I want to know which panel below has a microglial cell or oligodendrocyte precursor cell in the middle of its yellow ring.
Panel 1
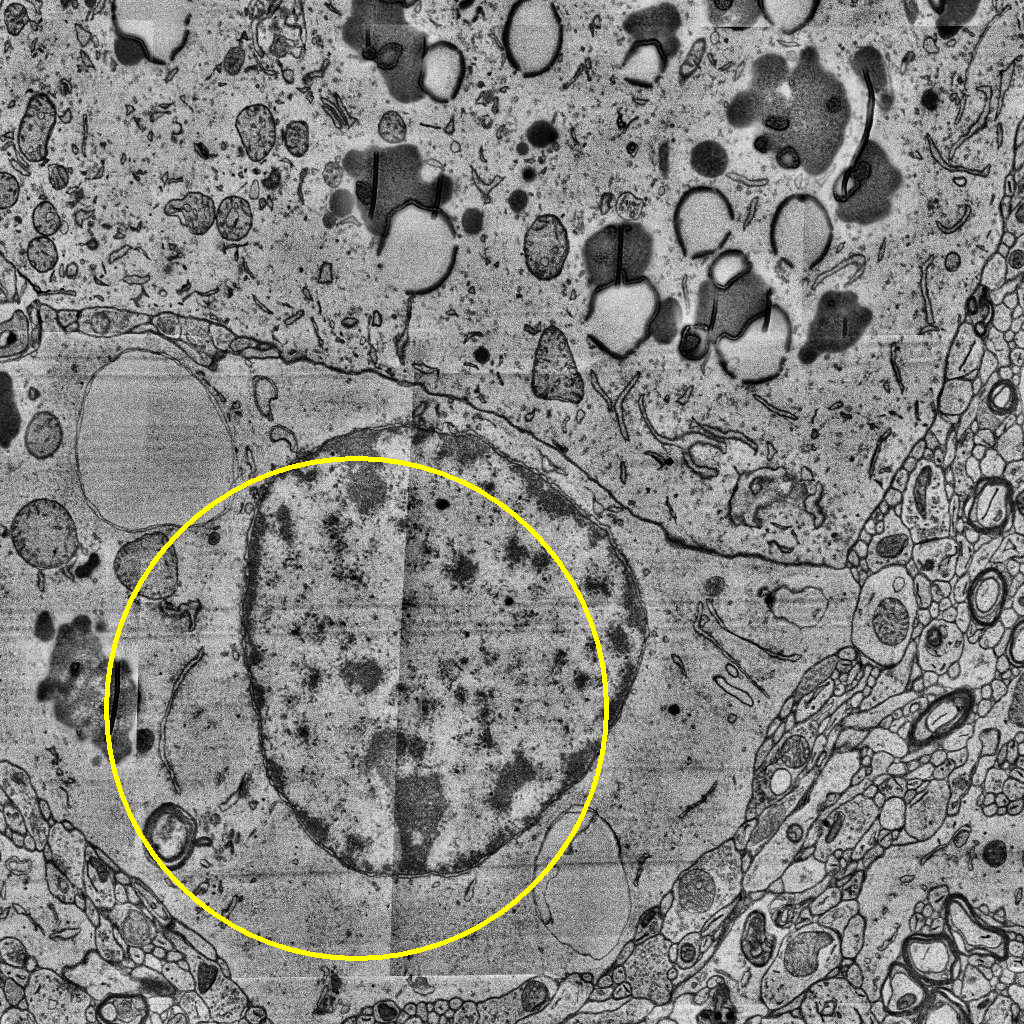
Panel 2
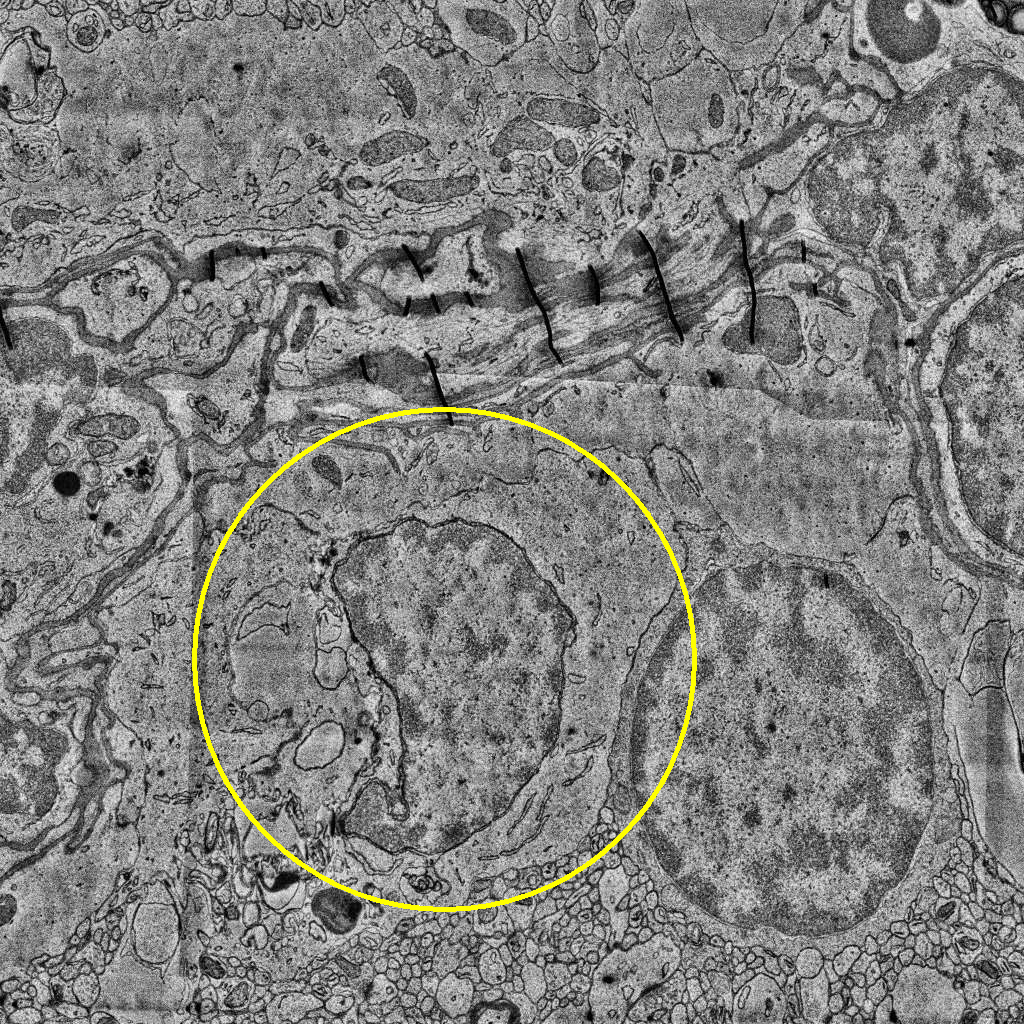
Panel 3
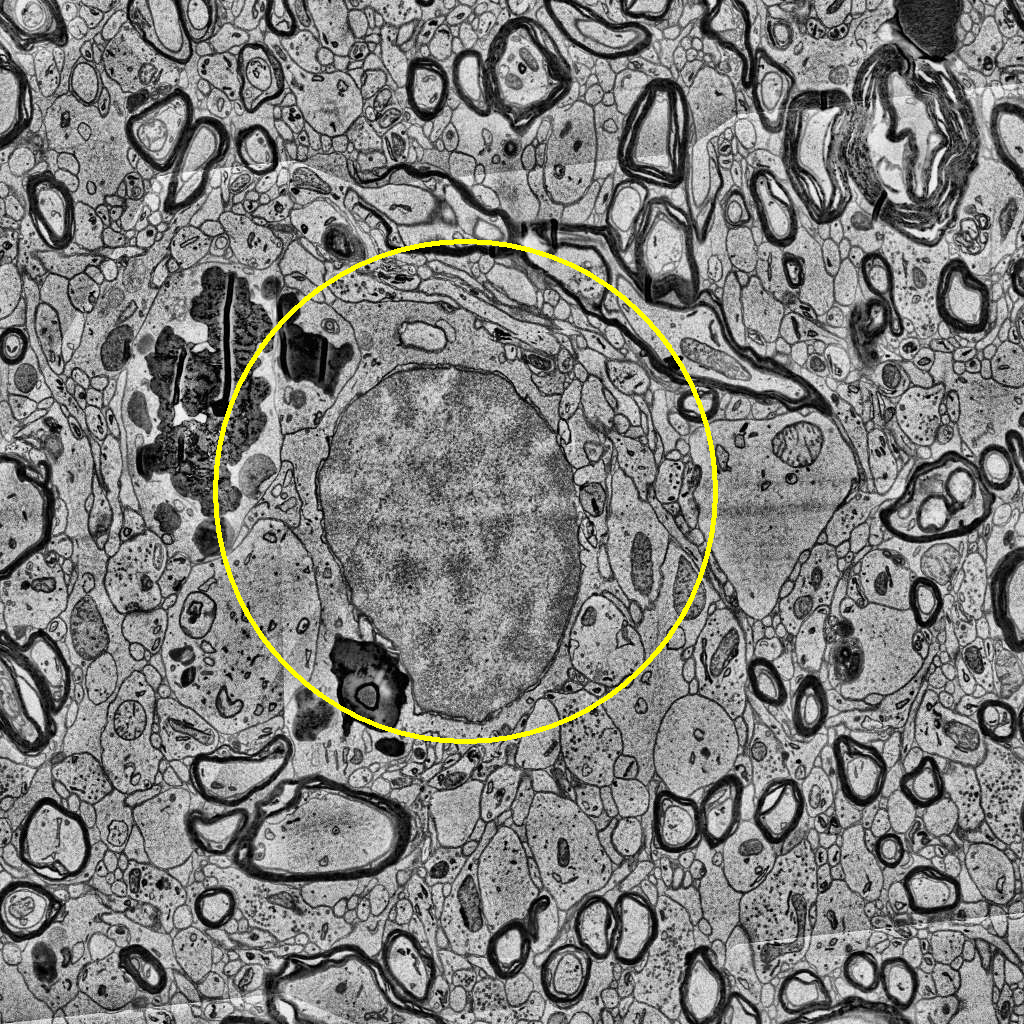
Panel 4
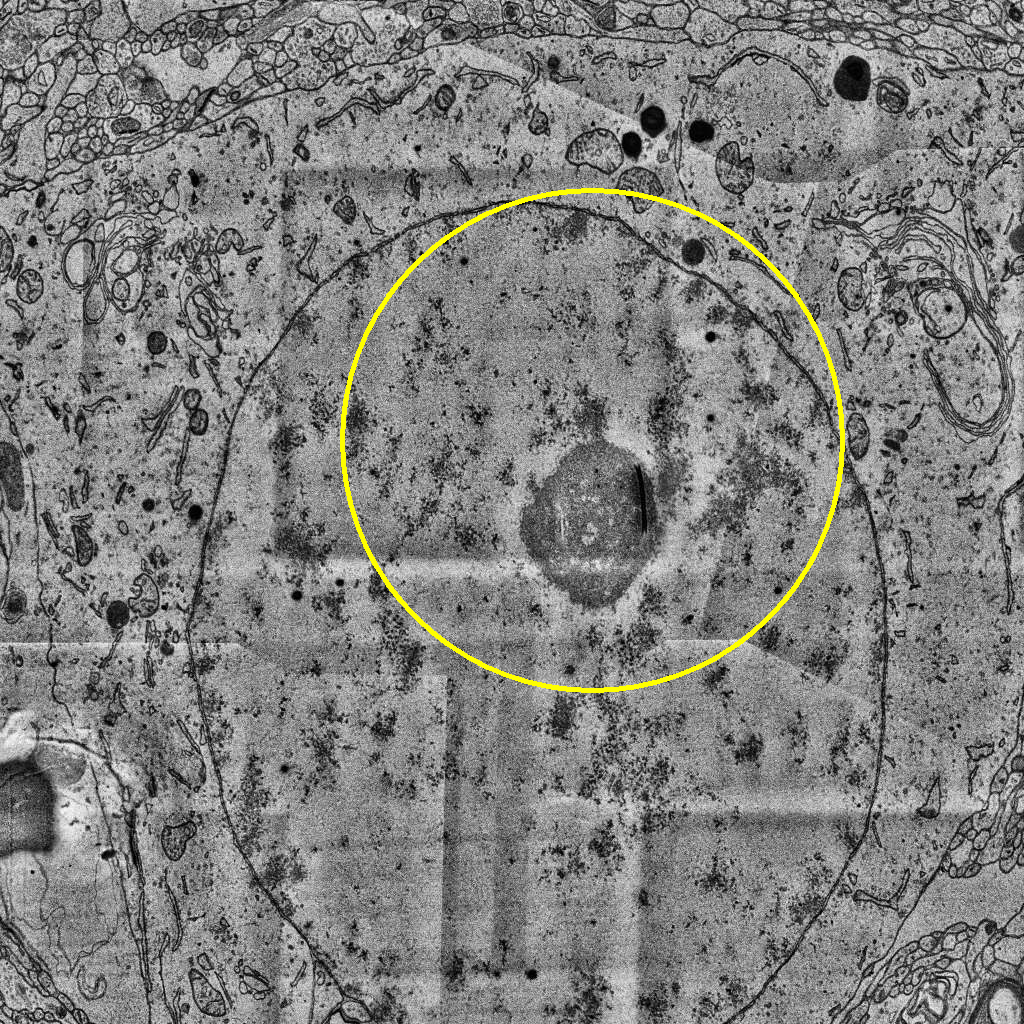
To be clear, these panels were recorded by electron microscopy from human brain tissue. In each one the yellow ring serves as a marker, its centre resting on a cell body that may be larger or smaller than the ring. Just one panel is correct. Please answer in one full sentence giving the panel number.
Panel 2 has the requested cell sitting at the centre of its ring.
